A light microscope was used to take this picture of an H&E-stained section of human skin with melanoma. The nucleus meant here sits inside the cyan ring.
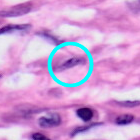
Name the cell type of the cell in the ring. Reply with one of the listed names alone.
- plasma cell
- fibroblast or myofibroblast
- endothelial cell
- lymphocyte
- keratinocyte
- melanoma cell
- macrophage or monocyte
fibroblast or myofibroblast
